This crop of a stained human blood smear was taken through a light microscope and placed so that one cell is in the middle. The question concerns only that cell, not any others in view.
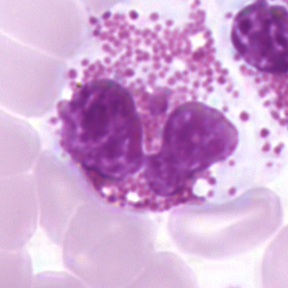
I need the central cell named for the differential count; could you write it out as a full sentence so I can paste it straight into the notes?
The middle cell in this particular crop is an eosinophil.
